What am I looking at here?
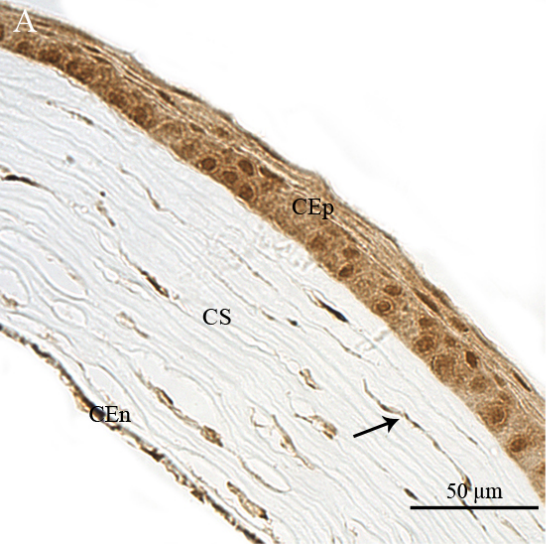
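This is a section of cornea with epithelial, stromal and endothelial cells. On the outer surface a stratified epithelium of several layers of brown-stained cells with rounded nuclei forms a thick band, the cells becoming flatter toward the surface. Beneath it lies a thick, pale stroma of wavy lamellae in which scattered thin, elongated, flattened stromal cells are stained brown. The inner surface is lined by a thin, single layer of flattened brown-stained endothelial cells.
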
